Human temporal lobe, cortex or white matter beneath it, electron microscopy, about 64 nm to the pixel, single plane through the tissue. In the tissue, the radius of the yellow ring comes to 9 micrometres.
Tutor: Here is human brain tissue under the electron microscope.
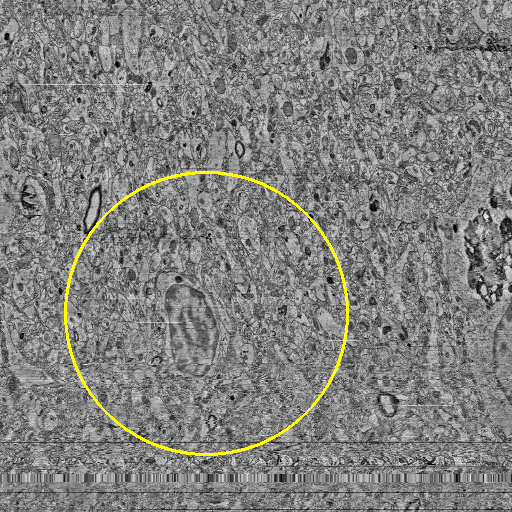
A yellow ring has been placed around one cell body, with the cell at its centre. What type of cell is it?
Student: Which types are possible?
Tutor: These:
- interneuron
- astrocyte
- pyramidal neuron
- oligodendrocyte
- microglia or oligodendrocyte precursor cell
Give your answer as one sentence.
What the ring picks out here is a microglial cell or oligodendrocyte precursor cell.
